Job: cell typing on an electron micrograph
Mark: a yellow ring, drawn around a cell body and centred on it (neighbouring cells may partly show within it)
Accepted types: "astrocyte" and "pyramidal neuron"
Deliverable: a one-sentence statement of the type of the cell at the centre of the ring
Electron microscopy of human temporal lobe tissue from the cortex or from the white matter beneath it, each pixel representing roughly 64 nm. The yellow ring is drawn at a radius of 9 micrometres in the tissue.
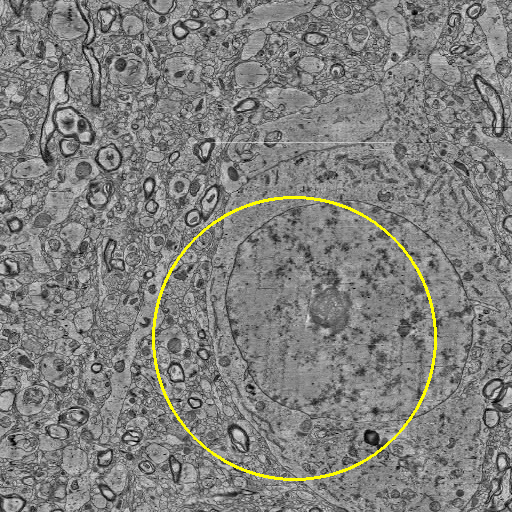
The centred cell body is that of a pyramidal neuron.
